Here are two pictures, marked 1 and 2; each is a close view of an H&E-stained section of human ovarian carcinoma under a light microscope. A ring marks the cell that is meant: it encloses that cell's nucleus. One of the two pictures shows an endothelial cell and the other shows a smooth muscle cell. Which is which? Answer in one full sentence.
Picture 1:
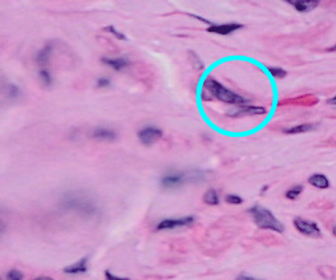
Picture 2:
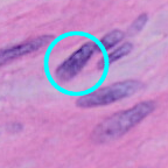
Picture 1 shows an endothelial cell and picture 2 shows a smooth muscle cell.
